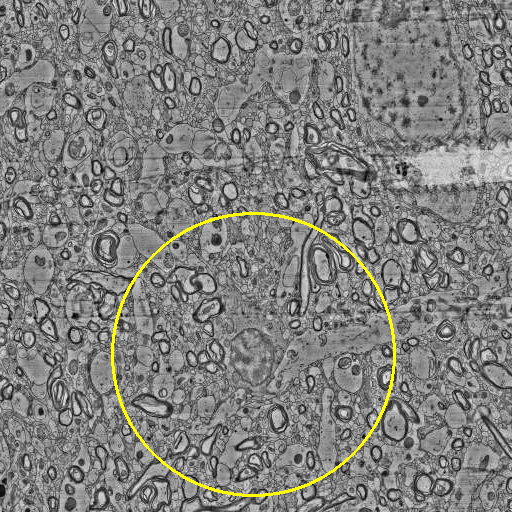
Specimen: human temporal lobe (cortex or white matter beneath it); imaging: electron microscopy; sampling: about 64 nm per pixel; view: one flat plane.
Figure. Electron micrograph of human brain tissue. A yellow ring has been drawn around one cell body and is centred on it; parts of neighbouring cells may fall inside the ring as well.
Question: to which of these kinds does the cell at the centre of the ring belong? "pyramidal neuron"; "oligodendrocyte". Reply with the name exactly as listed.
oligodendrocyte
